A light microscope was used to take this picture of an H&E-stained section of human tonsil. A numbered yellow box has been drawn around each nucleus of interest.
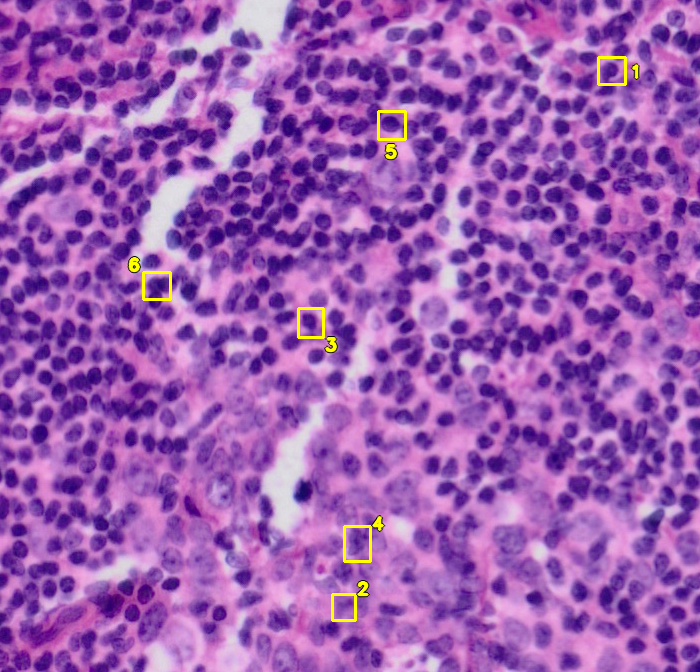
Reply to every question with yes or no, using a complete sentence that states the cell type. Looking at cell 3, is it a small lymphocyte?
Yes, in this section the cell numbered 3 is a small lymphocyte.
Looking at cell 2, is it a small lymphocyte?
No, cell 2 counts as a proliferating B cell rather than as a small lymphocyte.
